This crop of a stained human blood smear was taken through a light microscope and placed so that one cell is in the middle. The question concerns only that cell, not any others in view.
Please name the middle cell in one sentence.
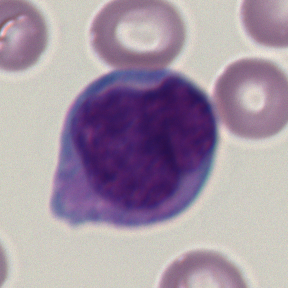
For this crop, the central cell is an atypical promyelocyte.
